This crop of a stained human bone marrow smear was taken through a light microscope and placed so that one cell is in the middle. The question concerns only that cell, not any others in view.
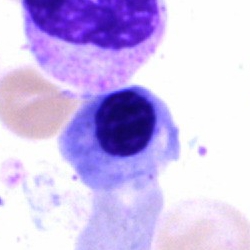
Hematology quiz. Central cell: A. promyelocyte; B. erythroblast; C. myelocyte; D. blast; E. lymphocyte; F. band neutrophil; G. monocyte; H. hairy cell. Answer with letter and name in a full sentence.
Located in the middle of the crop is an erythroblast, and option B is therefore correct.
